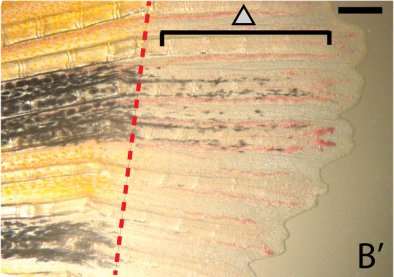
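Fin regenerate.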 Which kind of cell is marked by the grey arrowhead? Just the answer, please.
melanocytes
